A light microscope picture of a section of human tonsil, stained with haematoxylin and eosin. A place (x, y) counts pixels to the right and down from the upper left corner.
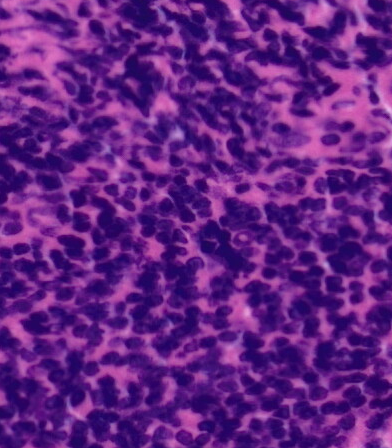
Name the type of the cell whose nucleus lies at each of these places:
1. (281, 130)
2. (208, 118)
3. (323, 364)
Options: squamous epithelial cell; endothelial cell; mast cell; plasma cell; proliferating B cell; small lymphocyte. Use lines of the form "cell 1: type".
cell 1: endothelial cell
cell 2: small lymphocyte
cell 3: small lymphocyte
